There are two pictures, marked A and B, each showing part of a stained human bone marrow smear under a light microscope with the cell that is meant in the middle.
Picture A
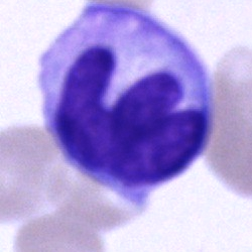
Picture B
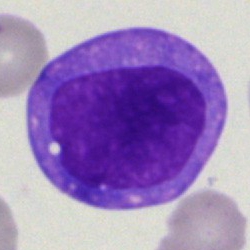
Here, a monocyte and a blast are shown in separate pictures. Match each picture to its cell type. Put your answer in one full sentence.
In picture A the cell is a monocyte; in picture B, a blast.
